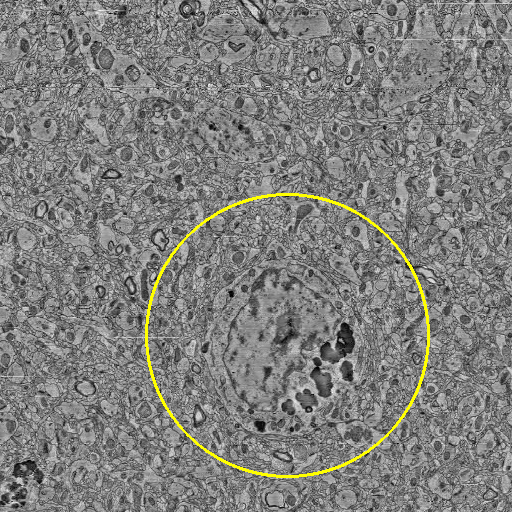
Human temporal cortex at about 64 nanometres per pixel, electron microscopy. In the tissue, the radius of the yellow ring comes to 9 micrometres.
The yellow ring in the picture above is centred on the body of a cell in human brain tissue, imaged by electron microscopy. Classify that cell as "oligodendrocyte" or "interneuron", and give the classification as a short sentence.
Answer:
The cell in the middle of the ring is an interneuron.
